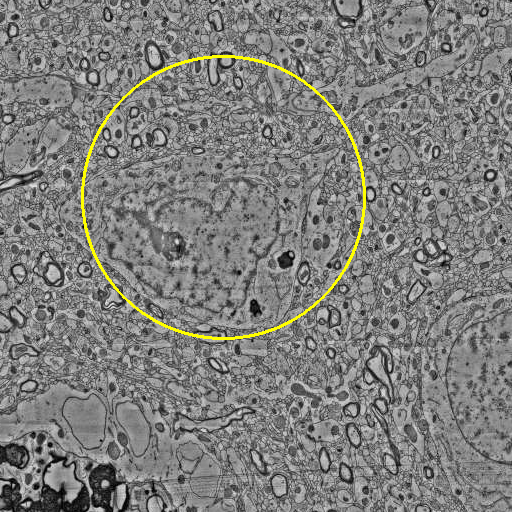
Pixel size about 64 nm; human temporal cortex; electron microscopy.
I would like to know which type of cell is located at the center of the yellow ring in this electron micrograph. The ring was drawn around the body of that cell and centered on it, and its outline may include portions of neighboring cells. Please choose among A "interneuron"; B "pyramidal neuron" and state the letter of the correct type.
A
